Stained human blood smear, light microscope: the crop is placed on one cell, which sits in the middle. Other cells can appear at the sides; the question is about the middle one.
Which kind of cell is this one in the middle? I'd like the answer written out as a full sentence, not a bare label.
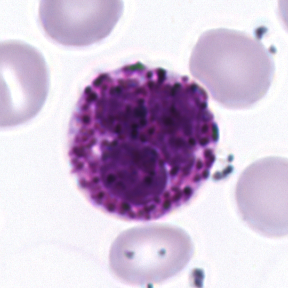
The cell around which this crop is centred is a basophil.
